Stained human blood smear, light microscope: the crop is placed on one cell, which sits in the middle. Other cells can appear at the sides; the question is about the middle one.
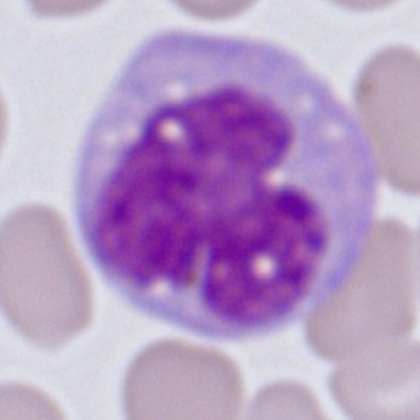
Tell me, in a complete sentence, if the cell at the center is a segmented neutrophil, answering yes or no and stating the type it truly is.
No, the centre cell is not a segmented neutrophil but a monocyte.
